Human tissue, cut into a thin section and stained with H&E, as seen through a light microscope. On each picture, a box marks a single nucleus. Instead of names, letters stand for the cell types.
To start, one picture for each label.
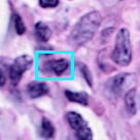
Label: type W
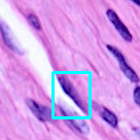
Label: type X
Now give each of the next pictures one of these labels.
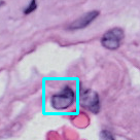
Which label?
type X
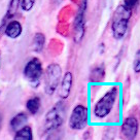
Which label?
type W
